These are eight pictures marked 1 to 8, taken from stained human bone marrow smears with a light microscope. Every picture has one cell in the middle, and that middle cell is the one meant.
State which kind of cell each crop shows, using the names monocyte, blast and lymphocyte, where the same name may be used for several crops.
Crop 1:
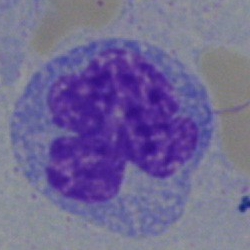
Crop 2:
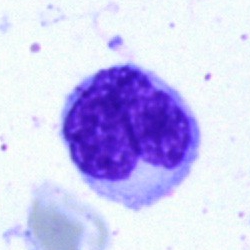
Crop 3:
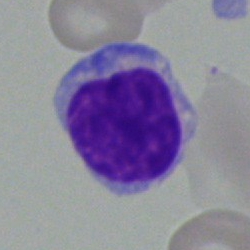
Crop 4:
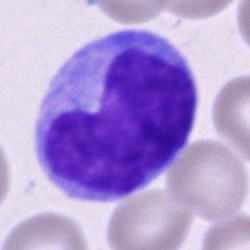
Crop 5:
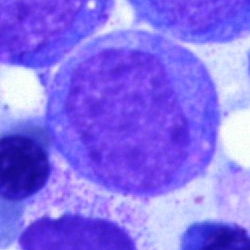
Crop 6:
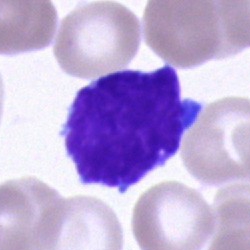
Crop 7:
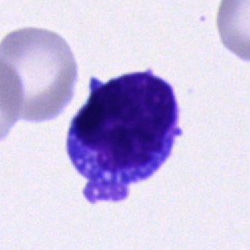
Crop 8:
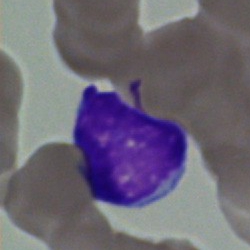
1: monocyte
2: monocyte
3: lymphocyte
4: monocyte
5: blast
6: lymphocyte
7: blast
8: lymphocyte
